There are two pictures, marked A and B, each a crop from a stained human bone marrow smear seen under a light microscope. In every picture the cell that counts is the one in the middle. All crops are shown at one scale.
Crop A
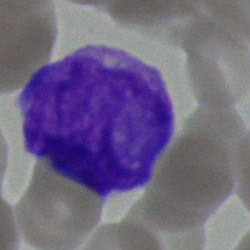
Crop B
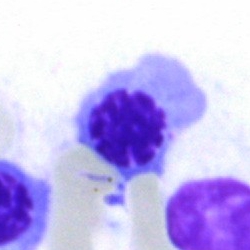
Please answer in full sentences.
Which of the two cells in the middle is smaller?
Smaller is the cell in crop B, and the other is about 1.5 times as large in area.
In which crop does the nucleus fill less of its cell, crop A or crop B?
Of the two, the nucleus in crop B leaves more room for cytoplasm.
